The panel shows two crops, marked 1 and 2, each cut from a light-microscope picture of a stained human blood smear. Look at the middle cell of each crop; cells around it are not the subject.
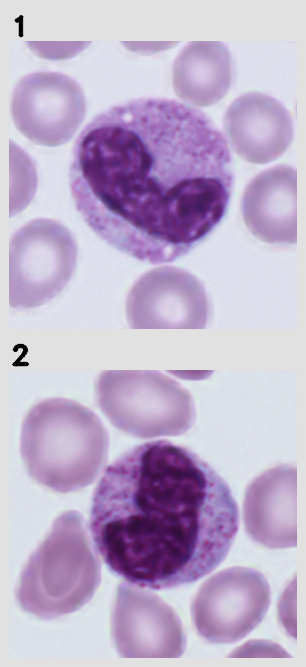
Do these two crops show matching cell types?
yes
